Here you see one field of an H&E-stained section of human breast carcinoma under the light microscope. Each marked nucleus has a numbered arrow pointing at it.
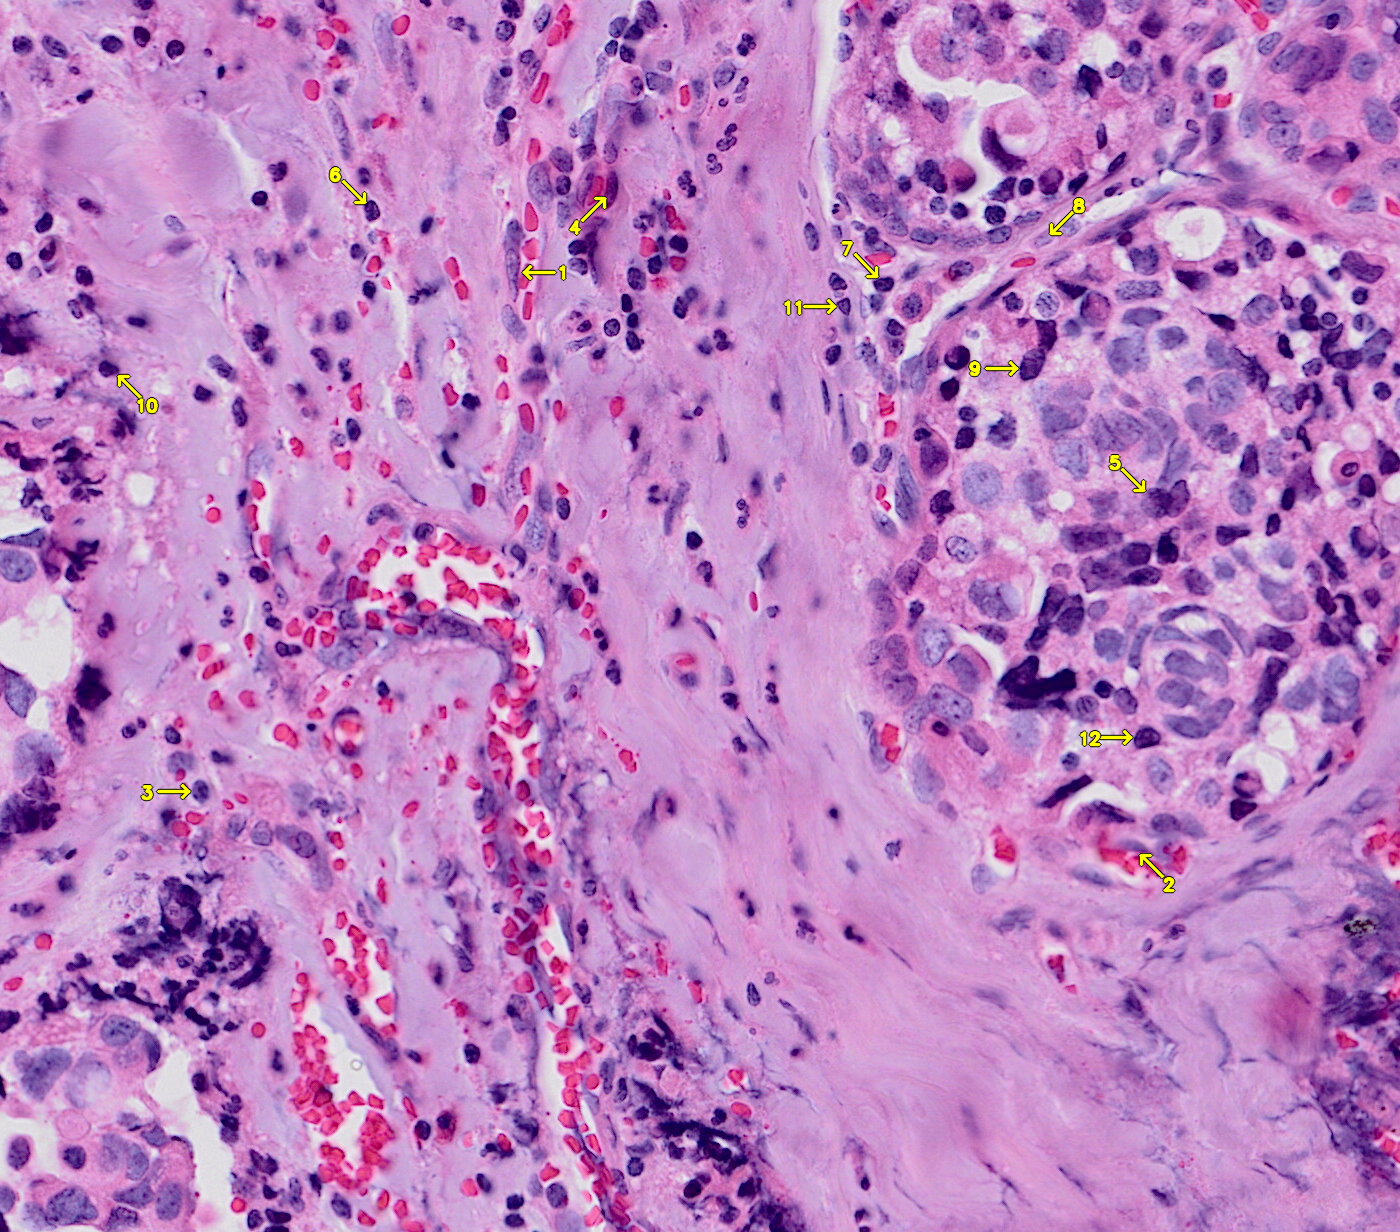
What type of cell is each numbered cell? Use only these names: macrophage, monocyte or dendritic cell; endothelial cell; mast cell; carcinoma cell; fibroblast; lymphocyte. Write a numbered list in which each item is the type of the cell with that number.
1. endothelial cell
2. endothelial cell
3. lymphocyte
4. endothelial cell
5. carcinoma cell
6. lymphocyte
7. lymphocyte
8. endothelial cell
9. carcinoma cell
10. lymphocyte
11. lymphocyte
12. carcinoma cell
